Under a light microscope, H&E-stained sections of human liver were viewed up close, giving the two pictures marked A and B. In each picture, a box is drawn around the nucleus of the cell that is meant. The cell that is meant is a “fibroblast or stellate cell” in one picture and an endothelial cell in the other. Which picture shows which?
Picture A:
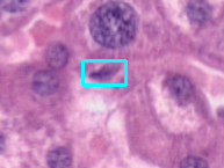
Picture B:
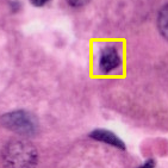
A: endothelial cell
B: fibroblast or stellate cell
